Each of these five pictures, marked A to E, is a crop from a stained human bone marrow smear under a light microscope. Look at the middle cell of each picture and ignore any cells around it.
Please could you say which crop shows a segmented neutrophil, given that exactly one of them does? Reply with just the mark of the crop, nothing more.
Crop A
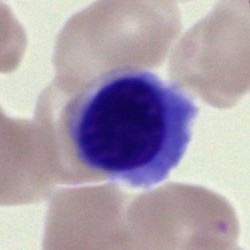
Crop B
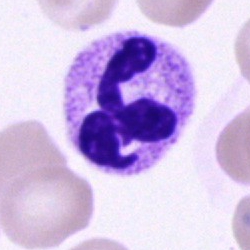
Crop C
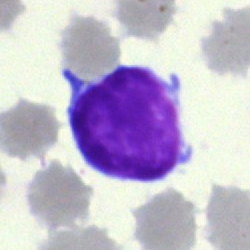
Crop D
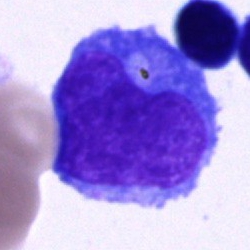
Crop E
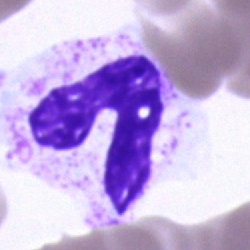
B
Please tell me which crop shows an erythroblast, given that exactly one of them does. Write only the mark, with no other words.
A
